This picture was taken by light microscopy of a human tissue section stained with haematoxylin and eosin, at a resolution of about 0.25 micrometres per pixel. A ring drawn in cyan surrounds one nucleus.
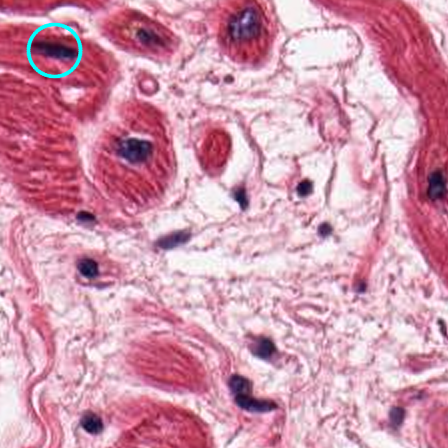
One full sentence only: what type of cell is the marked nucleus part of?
The marked nucleus is a nucleus of a cardiomyocyte.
